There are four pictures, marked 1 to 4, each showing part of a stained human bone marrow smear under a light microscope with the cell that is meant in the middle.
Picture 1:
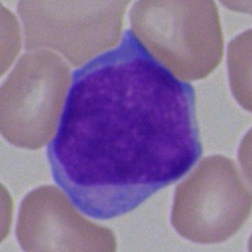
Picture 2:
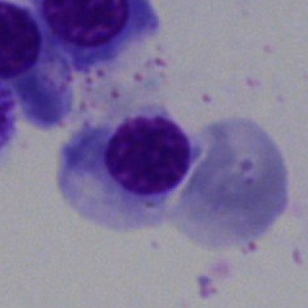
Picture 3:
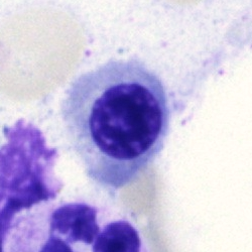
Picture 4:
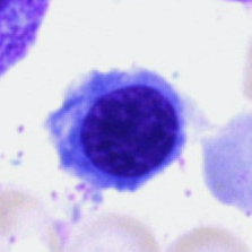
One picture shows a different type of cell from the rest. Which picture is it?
1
